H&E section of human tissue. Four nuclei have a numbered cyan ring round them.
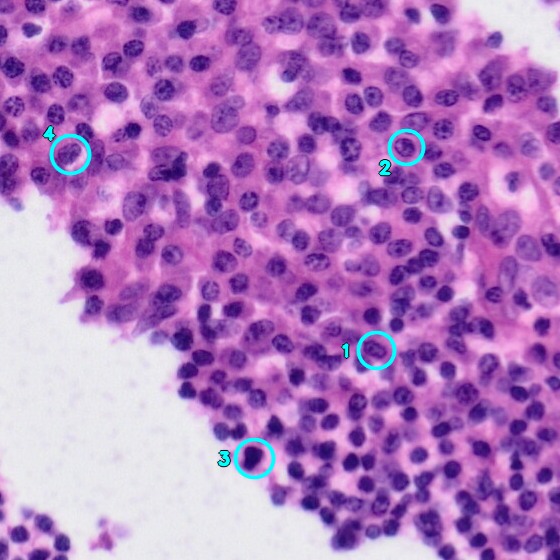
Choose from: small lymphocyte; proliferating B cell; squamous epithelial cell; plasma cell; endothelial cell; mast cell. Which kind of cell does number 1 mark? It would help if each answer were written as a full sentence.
The cell to which the number 1 is assigned is a plasma cell.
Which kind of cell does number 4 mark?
Classified as a plasma cell is the cell with the number 4.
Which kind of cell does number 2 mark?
Cell 2 of the marked set is a plasma cell.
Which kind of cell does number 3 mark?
In this section, the cell tagged 3 is a proliferating B cell.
